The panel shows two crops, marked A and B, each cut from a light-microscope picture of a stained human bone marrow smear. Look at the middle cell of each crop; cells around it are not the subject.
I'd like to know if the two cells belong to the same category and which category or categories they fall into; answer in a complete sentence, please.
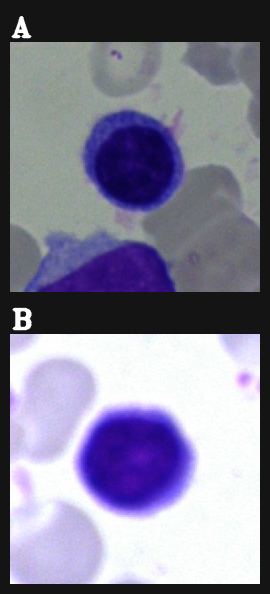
Yes, the cells found in the middle of both crops are lymphocytes.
